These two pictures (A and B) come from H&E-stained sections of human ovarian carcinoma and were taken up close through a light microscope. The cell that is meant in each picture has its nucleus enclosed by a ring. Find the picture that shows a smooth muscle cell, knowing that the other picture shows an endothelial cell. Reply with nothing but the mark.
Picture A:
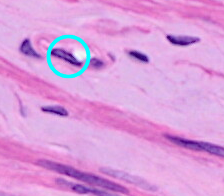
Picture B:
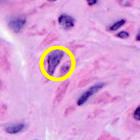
B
